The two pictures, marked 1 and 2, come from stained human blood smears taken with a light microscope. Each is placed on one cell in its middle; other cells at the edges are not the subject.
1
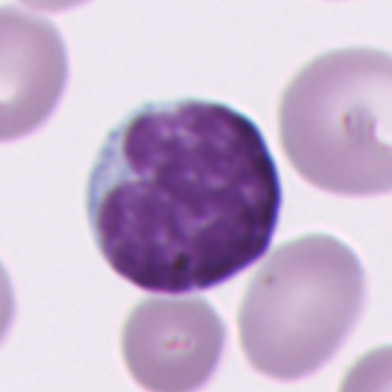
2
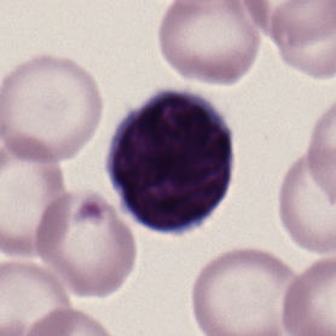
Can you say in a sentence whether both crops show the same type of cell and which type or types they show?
Yes, the first and the second crop both show typical lymphocytes.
